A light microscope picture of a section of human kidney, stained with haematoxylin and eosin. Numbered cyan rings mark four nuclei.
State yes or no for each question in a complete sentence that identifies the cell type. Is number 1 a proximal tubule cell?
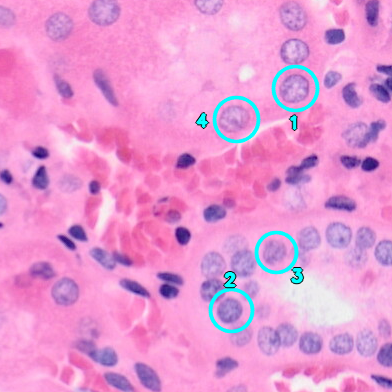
Yes, the numbered cell 1 is identified as a proximal tubule cell.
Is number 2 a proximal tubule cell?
No, what number 2 shows is a collecting duct cell, not a proximal tubule cell.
